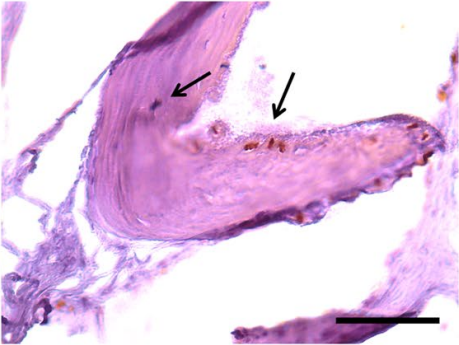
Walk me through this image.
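Small dark spots within the matrix mark cells enclosed in lacunae. Along the surface of the bone a row of cells lies, several of which have brown-stained nuclei, lining the bone edge. Next to the bone lies pale, loosely textured tissue with faint fibres. The bone edge is stained more darkly purple than its interior.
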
